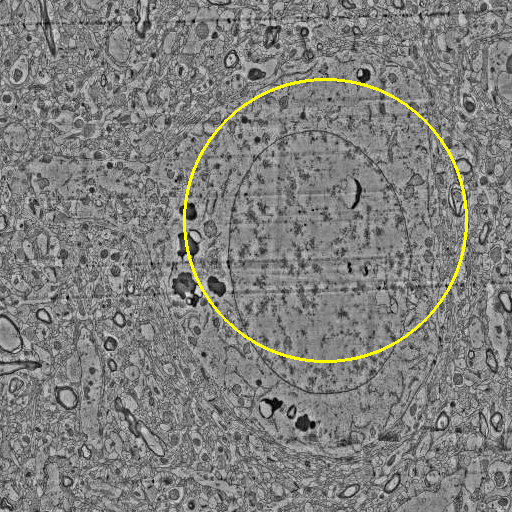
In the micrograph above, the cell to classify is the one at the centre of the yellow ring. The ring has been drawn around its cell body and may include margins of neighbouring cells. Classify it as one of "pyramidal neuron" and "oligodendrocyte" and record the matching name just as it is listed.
pyramidal neuron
